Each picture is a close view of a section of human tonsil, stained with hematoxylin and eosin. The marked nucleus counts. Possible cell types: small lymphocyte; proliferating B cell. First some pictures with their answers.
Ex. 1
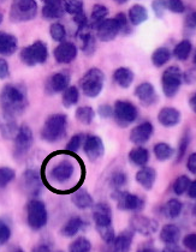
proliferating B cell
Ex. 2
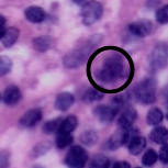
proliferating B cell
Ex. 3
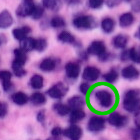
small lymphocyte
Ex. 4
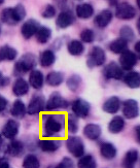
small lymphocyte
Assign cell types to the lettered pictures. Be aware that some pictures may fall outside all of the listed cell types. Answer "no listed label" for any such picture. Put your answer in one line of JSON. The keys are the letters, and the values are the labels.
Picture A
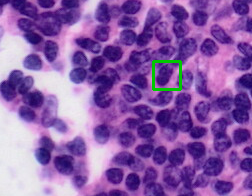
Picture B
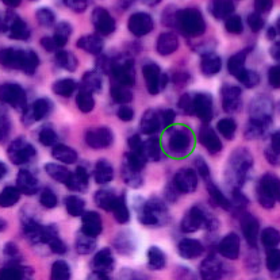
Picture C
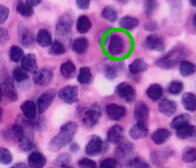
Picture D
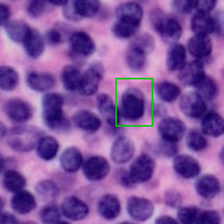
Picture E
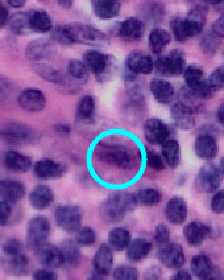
{"A": "small lymphocyte", "B": "small lymphocyte", "C": "no listed label", "D": "small lymphocyte", "E": "no listed label"}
